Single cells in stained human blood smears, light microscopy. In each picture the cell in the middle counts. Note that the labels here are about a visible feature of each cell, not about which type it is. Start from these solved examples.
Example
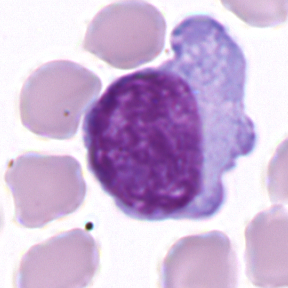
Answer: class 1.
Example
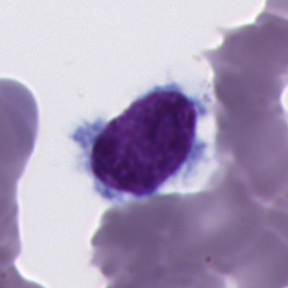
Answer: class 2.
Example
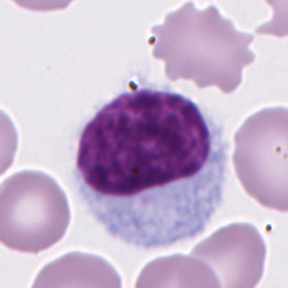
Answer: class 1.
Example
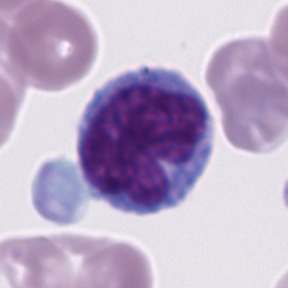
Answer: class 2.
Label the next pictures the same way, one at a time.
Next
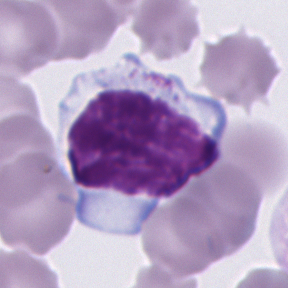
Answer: class 2.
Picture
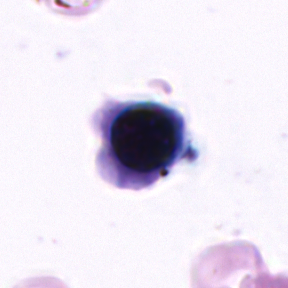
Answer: class 2.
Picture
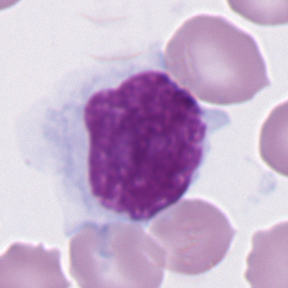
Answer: class 1.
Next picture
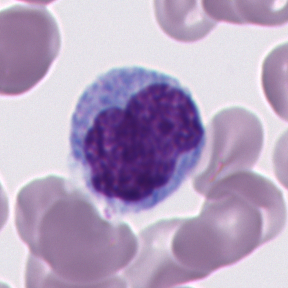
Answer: class 2.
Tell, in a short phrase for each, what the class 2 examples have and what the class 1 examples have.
In class 2: scant cytoplasm. In class 1: abundant cytoplasm.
